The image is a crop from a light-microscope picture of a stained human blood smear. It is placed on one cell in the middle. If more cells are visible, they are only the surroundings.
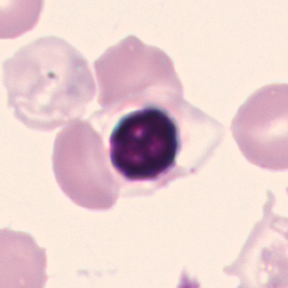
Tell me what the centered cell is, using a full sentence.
The middle of this crop holds a normoblast.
